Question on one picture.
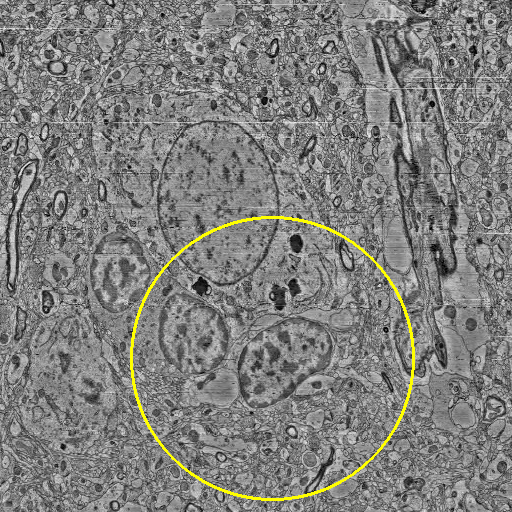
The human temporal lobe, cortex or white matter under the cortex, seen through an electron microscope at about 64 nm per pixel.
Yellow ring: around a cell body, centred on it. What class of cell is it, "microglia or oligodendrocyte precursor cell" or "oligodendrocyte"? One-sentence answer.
This is a microglial cell or oligodendrocyte precursor cell, the cell the ring is centred on.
